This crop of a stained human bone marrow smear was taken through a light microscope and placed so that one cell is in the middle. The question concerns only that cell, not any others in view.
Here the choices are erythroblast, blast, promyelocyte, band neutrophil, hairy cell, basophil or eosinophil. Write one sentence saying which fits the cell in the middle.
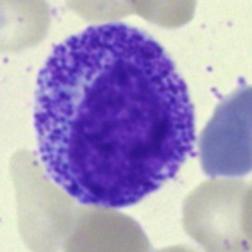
In the center of this field lies a promyelocyte.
